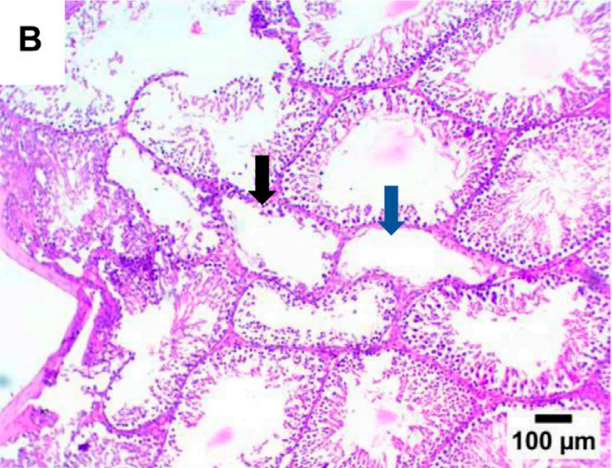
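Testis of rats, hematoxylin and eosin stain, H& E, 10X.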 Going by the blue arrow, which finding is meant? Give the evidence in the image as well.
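The marked tubule is largely empty, with a wide pale lumen. Little or no filamentous pink material lies in the marked lumen. The lining of germ cells in the marked tubule is thin or lost.
Azospermia.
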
